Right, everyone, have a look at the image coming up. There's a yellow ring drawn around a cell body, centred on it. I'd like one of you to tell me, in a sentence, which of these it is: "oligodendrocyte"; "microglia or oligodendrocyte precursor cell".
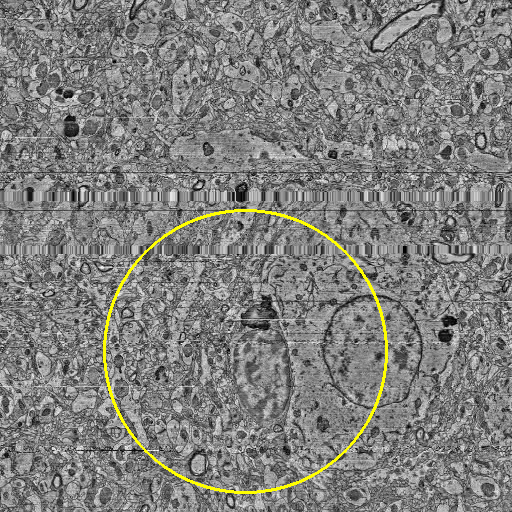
The yellow ring sits on an oligodendrocyte.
